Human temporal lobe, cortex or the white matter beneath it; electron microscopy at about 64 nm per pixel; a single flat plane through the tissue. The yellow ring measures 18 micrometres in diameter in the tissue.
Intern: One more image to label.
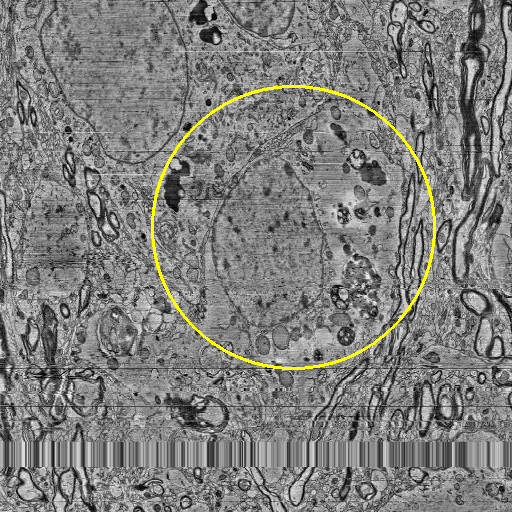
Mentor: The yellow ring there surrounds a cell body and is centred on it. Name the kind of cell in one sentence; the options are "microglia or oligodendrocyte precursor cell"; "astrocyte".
The ring marks the cell body of an astrocyte.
